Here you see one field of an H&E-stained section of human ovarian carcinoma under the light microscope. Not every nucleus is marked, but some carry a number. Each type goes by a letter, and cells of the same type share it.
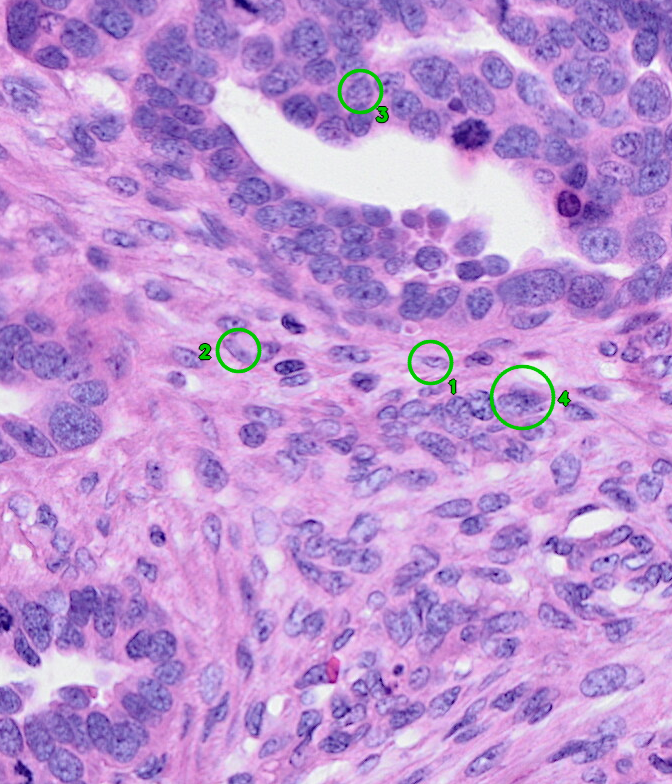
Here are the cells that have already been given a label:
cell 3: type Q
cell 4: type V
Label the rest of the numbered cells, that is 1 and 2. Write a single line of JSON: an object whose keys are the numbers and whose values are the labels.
{"1": "type V", "2": "type V"}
